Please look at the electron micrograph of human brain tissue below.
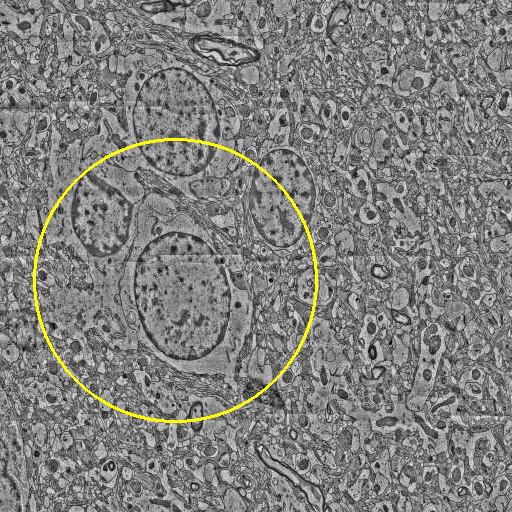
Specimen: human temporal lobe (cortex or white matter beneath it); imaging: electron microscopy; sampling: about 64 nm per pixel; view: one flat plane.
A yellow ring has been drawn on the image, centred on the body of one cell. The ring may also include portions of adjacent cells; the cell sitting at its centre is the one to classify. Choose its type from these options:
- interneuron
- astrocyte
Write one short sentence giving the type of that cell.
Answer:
The cell in the middle of the ring is an astrocyte.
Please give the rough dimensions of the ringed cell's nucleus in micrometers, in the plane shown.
In this plane the nucleus spans approximately 8 by 6 micrometers.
